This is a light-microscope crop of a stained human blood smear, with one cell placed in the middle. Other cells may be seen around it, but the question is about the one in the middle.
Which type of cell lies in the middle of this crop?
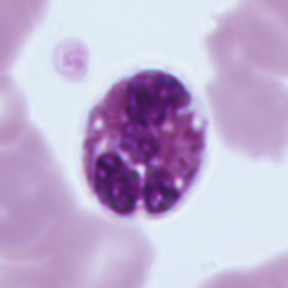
eosinophil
